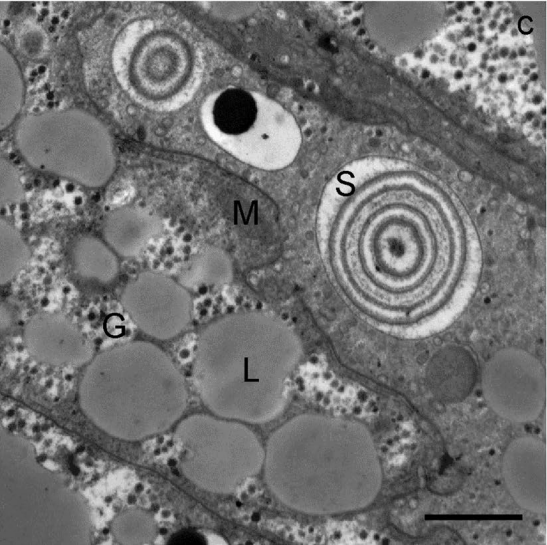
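Here are adipocytes in an ultrathin section, with a band of denser cytoplasm running diagonally across. In that band sit spherites, round bodies made of concentric dark and light rings, one large and one smaller, beside an oval vacuole holding a very dark round inclusion. An elongated mitochondrion lies near them. Below and around, the cytoplasm holds many rounded grey lipid droplets, and between these are clusters of small black glycogen rosettes in pale cytoplasm. Thin membrane lines mark the borders between neighbouring cells.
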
